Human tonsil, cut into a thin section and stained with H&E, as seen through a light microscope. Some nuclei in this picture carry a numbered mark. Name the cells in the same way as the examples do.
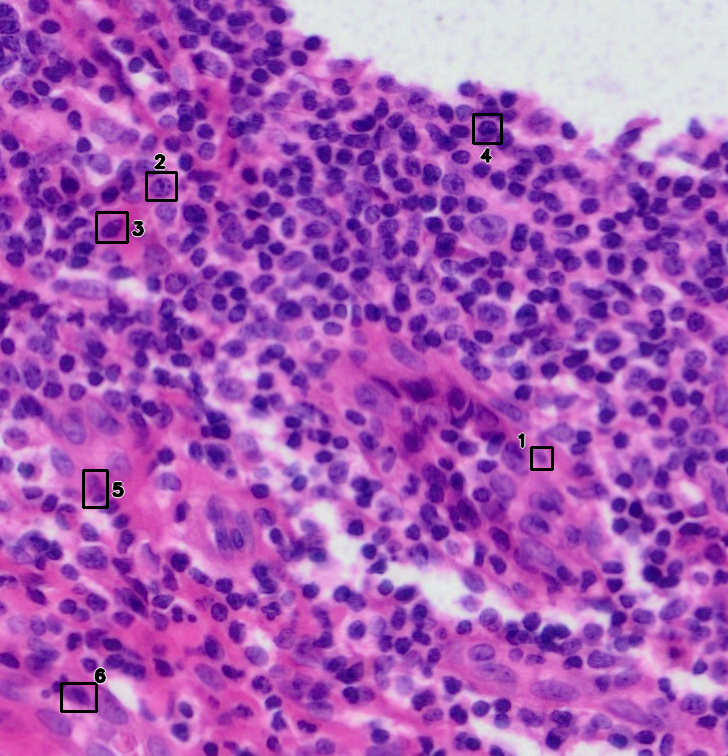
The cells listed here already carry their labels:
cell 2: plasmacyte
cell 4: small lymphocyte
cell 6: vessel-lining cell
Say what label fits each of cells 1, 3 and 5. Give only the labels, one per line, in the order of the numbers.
vessel-lining cell
plasmacyte
vessel-lining cell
